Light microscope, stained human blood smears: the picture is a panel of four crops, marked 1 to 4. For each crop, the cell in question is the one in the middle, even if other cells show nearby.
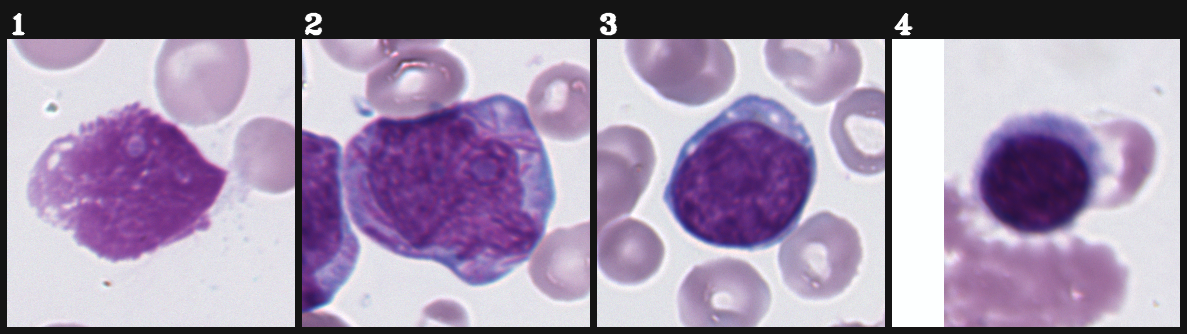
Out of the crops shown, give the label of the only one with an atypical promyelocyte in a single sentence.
Here the crop that shows an atypical promyelocyte is crop 2.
